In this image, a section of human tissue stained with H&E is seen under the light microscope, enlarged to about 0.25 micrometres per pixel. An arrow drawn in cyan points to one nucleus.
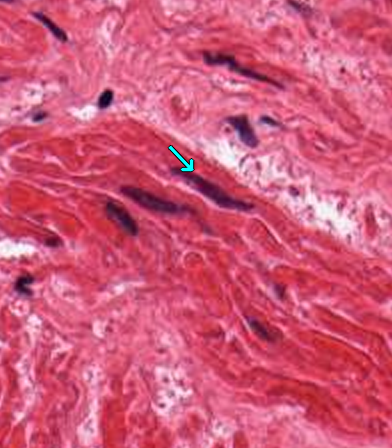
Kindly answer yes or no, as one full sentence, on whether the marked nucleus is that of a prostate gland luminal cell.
No, the marked nucleus belongs to something other than a prostate gland luminal cell.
